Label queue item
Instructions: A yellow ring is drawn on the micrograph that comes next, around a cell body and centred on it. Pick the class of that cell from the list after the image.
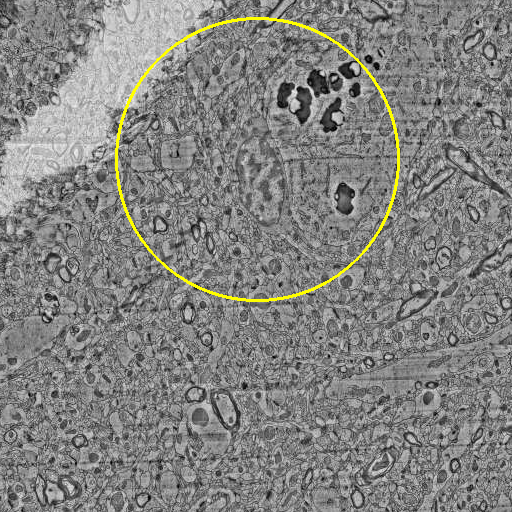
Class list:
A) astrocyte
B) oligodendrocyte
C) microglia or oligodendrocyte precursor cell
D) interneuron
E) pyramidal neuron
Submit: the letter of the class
B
